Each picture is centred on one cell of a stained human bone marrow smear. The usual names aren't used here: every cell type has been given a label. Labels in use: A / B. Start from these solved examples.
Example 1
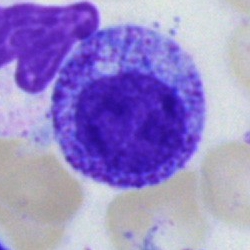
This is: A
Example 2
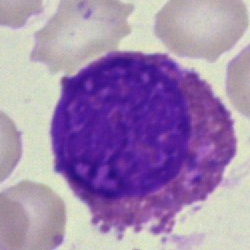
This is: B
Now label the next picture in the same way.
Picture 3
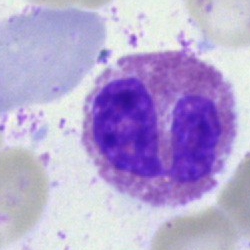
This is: B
